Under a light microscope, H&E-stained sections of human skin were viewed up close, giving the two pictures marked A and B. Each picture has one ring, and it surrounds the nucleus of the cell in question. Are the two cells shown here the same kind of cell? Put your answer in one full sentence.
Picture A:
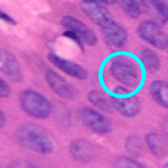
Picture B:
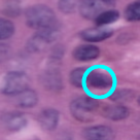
No. Picture A shows a suprabasal keratinocyte, but picture B shows a basal keratinocyte.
